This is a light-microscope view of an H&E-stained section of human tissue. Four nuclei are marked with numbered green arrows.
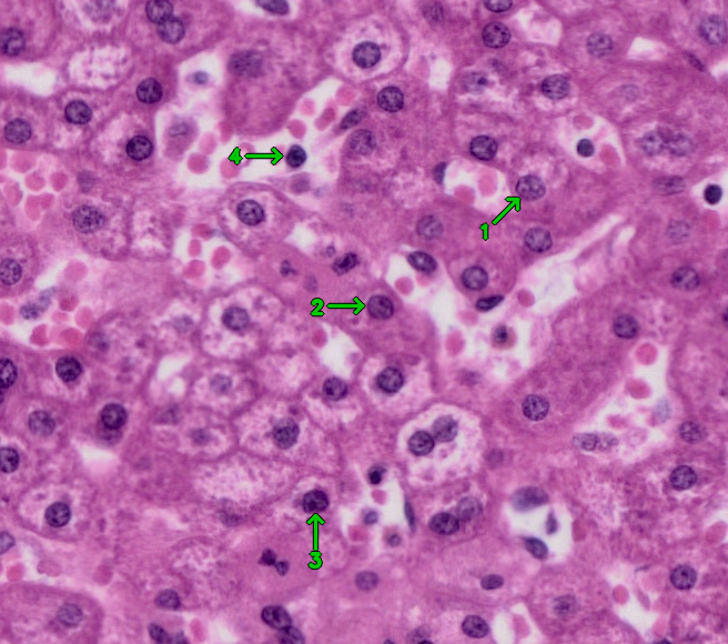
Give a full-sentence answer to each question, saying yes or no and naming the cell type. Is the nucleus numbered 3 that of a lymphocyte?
No, cell 3 is a hepatocyte; it is not a lymphocyte.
